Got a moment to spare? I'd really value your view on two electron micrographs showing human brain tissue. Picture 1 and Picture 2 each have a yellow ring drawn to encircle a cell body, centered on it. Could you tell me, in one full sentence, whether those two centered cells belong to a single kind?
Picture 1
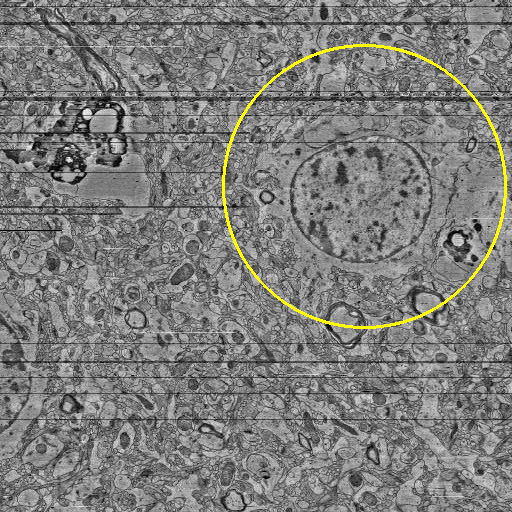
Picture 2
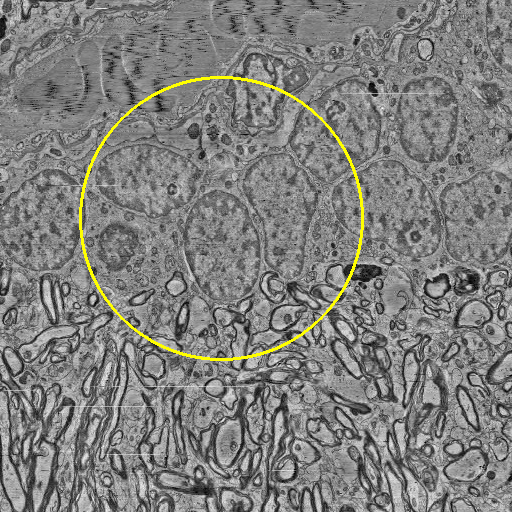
No, the two centered cells in Picture 1 and Picture 2 are of two kinds.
